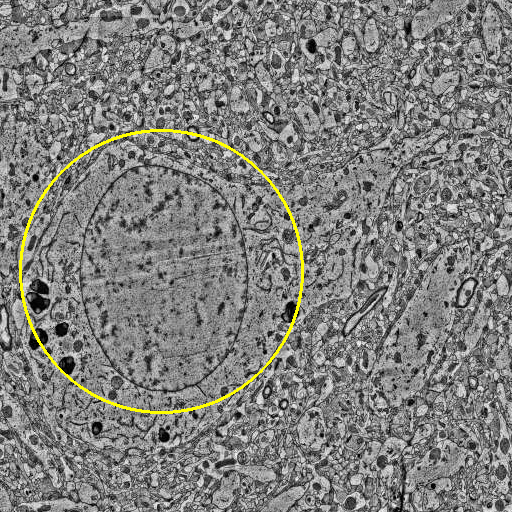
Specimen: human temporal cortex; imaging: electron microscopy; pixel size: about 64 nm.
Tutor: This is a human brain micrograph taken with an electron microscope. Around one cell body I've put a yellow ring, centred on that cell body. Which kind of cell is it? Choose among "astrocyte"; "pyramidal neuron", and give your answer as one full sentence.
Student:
Going by your list, the cell centred in the yellow ring is a pyramidal neuron.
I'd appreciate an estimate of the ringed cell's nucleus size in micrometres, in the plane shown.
The ringed cell's nucleus is about 15 micrometres long and 11 micrometres wide in this plane.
